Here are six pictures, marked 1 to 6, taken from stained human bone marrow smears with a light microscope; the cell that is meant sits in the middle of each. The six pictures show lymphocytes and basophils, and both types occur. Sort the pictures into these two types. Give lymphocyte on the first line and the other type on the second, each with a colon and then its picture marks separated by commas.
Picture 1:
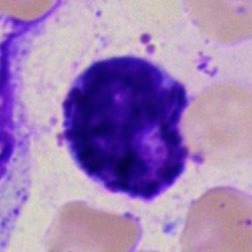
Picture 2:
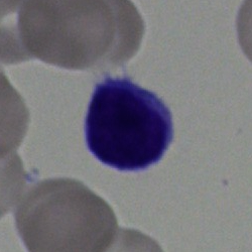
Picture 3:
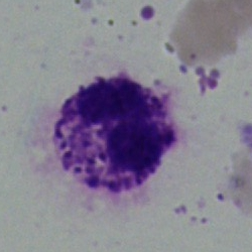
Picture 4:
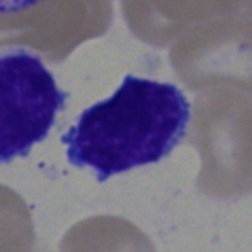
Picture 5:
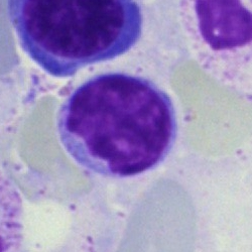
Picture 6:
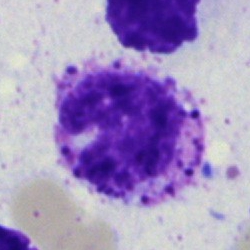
lymphocyte: 2, 4, 5
basophil: 1, 3, 6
